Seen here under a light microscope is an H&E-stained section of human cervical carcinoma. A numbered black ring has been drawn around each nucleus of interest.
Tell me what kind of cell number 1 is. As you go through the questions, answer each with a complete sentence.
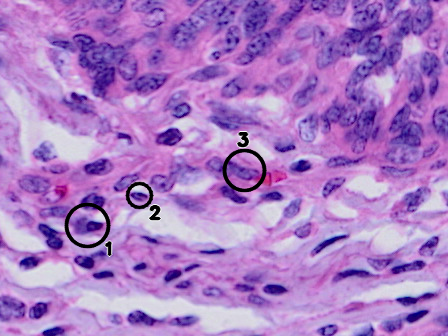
Number 1 is placed on a lymphocyte here.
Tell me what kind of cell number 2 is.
The one numbered 2 among the marked cells is a lymphocyte.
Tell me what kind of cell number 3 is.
Cell 3 is classified as an endothelial cell.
